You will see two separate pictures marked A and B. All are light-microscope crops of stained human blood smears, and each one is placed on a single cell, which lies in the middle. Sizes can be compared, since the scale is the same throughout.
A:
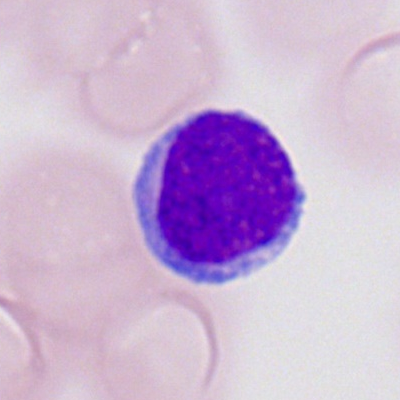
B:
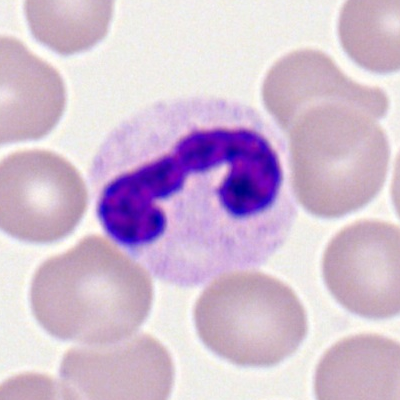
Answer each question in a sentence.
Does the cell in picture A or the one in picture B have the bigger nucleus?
It is the nucleus in picture A, about 1.5 times as large in area as the one in picture B.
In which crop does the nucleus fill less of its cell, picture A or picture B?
Of the two, the nucleus in picture B leaves more room for cytoplasm.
